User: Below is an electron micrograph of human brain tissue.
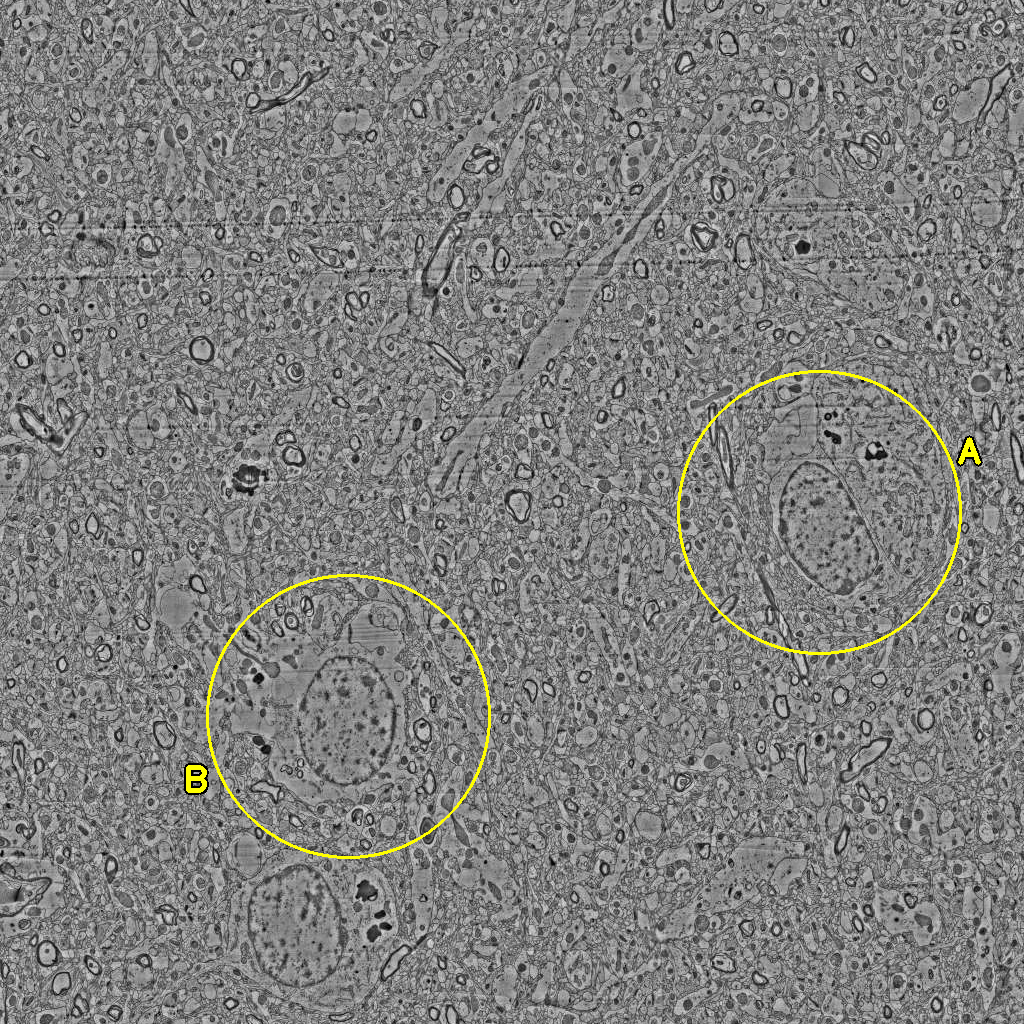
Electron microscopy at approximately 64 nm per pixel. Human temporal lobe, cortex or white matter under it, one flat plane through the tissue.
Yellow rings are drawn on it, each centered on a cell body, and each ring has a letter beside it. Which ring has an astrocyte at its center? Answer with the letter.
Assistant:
B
